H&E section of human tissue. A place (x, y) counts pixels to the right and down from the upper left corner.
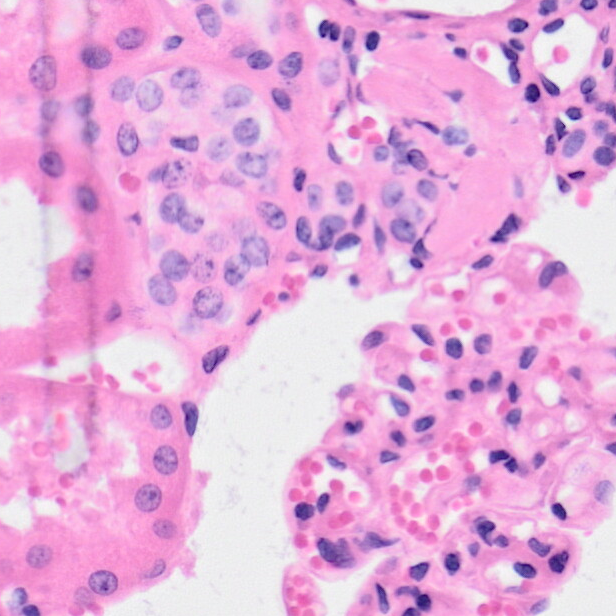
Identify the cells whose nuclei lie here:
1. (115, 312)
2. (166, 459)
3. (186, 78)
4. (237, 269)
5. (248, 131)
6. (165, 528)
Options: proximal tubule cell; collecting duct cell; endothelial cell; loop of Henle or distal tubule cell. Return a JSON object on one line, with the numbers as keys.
{"1": "proximal tubule cell", "2": "proximal tubule cell", "3": "collecting duct cell", "4": "collecting duct cell", "5": "collecting duct cell", "6": "proximal tubule cell"}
